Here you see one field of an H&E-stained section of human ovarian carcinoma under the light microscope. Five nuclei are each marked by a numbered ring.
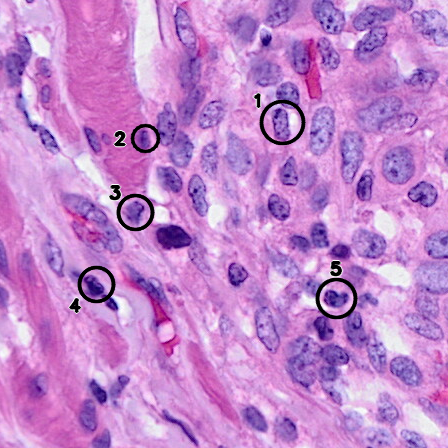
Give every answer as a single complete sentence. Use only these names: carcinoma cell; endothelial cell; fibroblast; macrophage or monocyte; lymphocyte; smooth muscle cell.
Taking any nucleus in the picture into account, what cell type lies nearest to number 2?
The nearest nucleus to number 2 belongs to a macrophage or monocyte.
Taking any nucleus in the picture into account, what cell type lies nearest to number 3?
The cell nearest to number 3 is an endothelial cell.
